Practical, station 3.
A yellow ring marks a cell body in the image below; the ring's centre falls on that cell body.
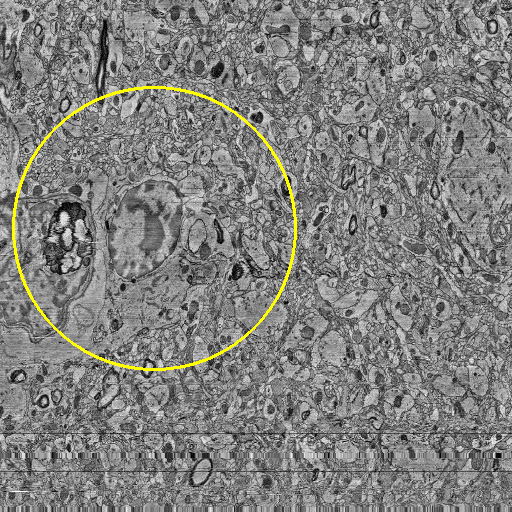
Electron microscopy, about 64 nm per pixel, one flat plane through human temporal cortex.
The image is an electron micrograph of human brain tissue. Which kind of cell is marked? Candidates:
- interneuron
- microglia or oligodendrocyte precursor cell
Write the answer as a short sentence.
The marked cell body is that of a microglial cell or oligodendrocyte precursor cell.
